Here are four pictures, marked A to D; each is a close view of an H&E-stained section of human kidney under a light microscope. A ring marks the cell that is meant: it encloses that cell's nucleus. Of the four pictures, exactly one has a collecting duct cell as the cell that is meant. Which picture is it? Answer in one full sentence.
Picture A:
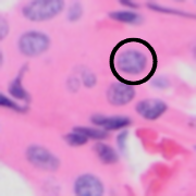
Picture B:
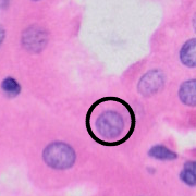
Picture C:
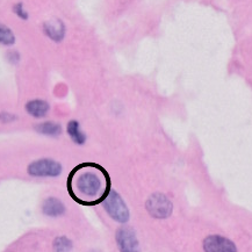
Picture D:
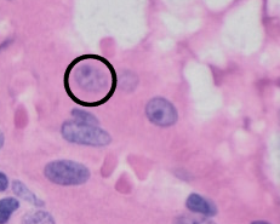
Picture C shows the collecting duct cell.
